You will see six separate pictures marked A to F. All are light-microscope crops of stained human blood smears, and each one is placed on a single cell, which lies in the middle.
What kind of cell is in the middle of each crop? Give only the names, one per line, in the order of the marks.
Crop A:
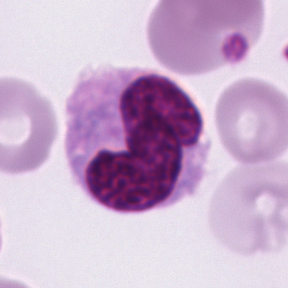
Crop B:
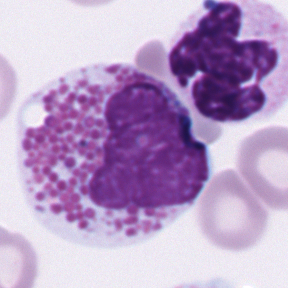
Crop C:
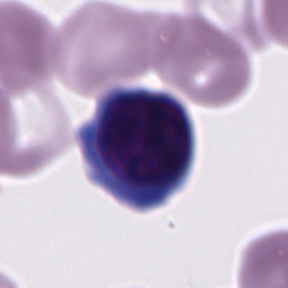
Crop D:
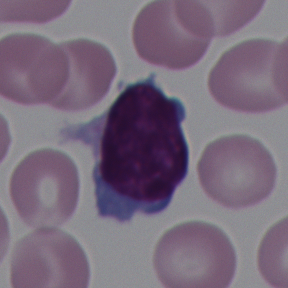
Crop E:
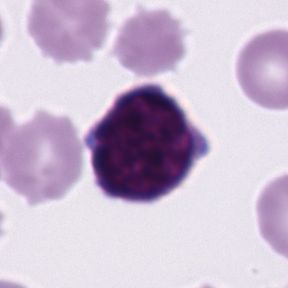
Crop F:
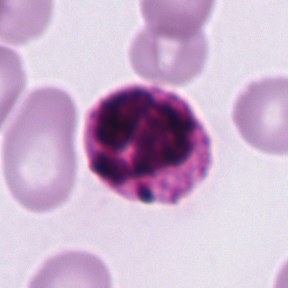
band neutrophil
eosinophil
normoblast
typical lymphocyte
normoblast
basophil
